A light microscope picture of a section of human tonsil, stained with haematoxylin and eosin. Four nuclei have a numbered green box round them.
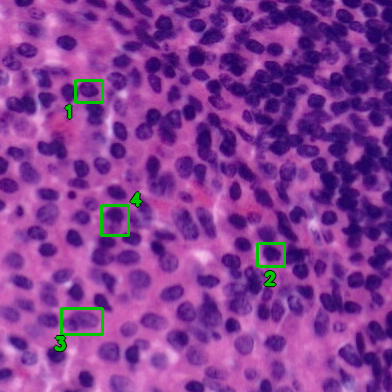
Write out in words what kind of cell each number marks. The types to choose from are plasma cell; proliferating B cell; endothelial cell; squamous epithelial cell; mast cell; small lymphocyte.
Cells 1, 2 and 4 are plasma cells. Cell 3 is a squamous epithelial cell.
